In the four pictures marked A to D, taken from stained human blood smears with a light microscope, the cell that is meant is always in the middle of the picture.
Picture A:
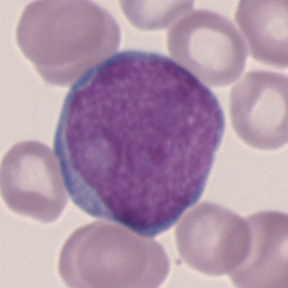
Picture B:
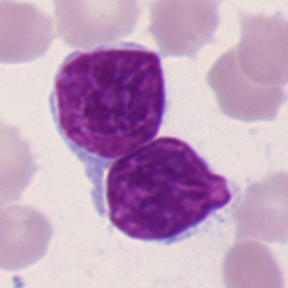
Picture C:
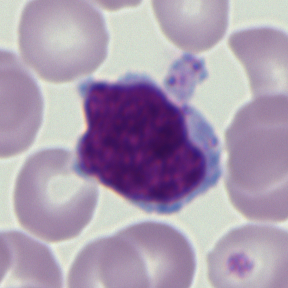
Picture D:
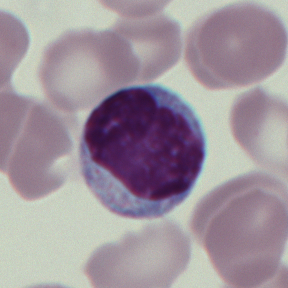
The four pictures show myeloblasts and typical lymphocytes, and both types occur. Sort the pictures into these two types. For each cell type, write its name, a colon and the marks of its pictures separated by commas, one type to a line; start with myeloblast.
myeloblast: A, B
typical lymphocyte: C, D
